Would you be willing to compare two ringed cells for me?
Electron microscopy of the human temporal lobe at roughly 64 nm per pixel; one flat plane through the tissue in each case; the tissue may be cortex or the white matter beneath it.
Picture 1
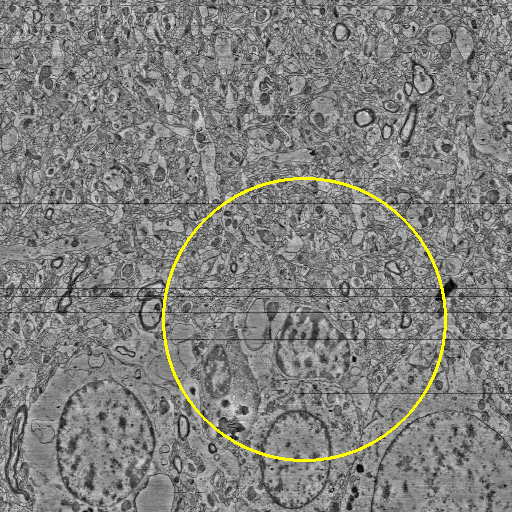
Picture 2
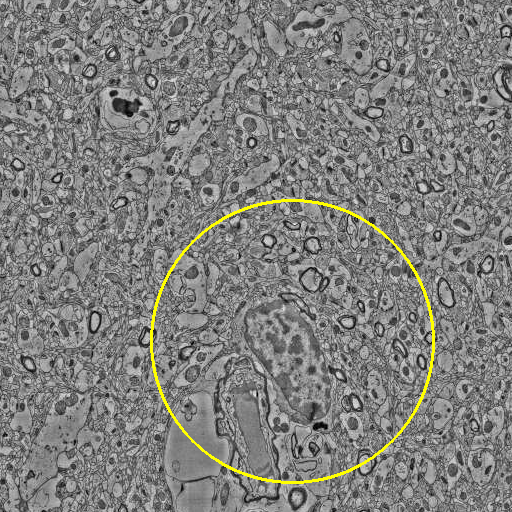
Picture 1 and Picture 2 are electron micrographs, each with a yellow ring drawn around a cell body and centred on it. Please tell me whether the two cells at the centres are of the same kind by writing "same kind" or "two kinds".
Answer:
two kinds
